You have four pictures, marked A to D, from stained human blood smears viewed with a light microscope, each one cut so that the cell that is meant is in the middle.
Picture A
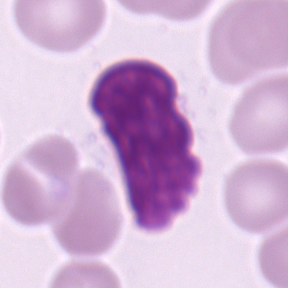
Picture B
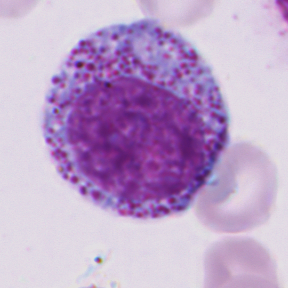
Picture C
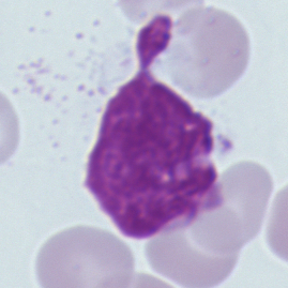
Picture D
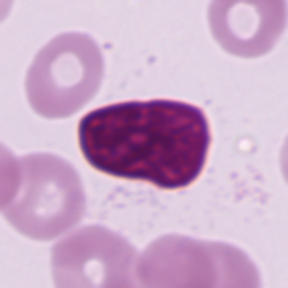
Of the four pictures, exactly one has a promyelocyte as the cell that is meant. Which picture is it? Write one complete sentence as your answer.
Picture B shows the promyelocyte.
